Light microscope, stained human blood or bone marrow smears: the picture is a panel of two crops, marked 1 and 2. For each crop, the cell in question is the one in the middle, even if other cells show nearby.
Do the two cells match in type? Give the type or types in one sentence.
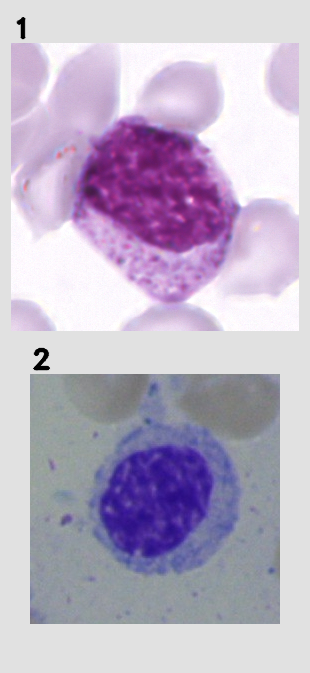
Yes, shown in both crops are myelocytes.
